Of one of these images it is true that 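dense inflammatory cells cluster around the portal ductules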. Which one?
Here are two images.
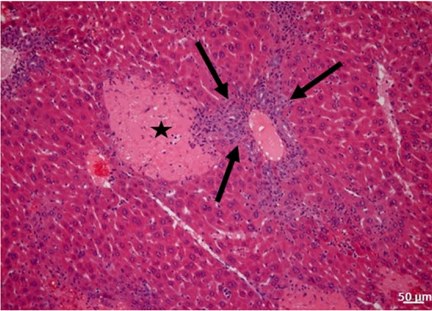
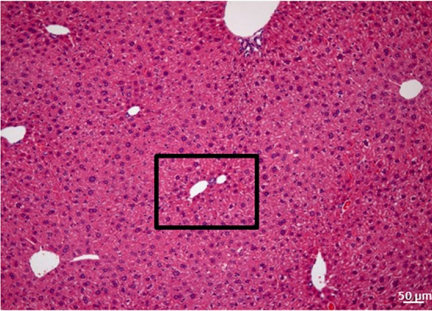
The first image.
